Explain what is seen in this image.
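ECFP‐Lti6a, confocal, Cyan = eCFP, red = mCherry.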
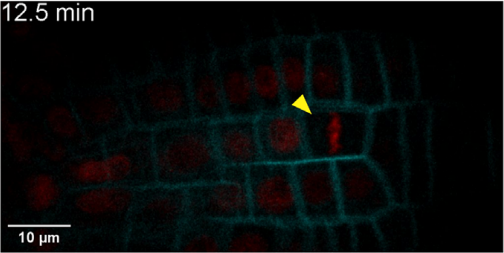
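Most cells contain a single round red nucleus filling much of the cell, some bright, others faint and diffuse. In one cell near the centre, instead of a round nucleus, a narrow, intense red bar lies across the cell, the condensed chromosomes of a dividing cell. A yellow arrowhead points to this region.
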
